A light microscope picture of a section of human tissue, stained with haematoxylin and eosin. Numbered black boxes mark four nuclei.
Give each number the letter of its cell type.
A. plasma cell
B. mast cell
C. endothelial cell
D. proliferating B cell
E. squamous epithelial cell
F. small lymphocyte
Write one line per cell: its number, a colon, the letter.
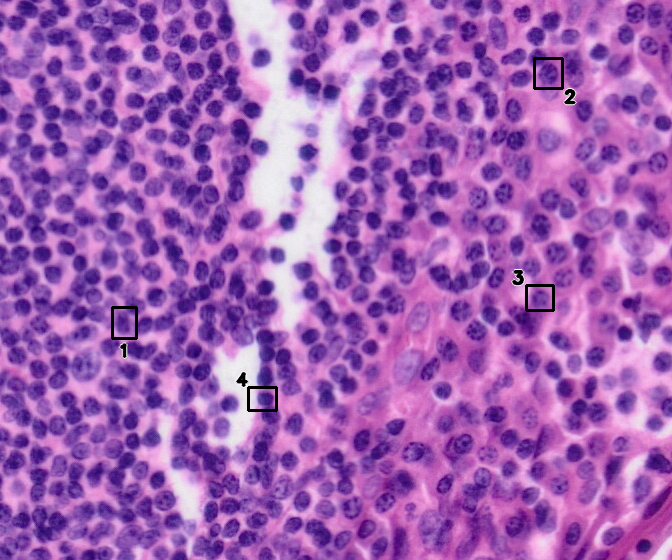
1: F
2: A
3: A
4: F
